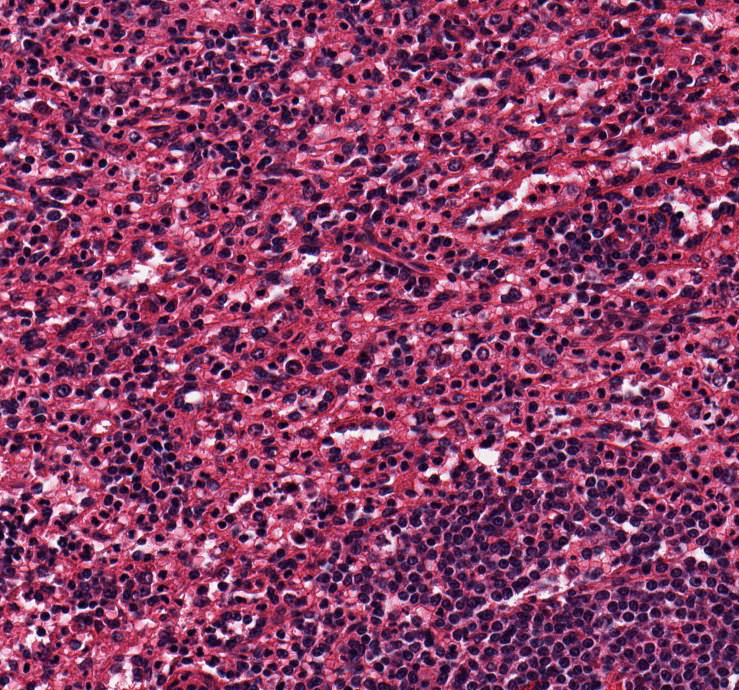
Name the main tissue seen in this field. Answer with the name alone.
red pulp of the spleen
